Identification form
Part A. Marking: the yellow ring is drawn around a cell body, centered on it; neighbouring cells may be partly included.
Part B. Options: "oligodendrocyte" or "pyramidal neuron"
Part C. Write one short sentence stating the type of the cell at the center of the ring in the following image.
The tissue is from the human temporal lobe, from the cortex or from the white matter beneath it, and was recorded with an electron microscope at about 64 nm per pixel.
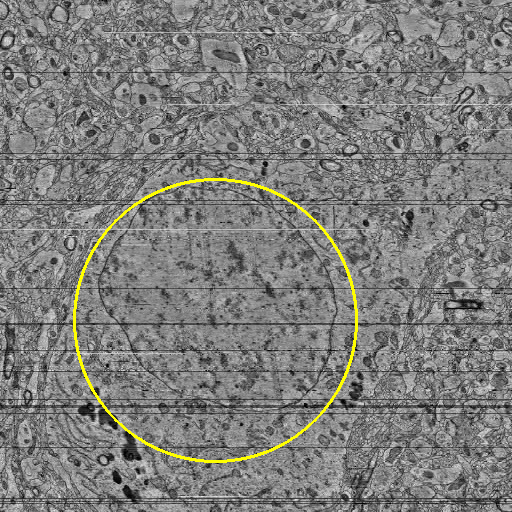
The center of the ring holds a pyramidal neuron.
